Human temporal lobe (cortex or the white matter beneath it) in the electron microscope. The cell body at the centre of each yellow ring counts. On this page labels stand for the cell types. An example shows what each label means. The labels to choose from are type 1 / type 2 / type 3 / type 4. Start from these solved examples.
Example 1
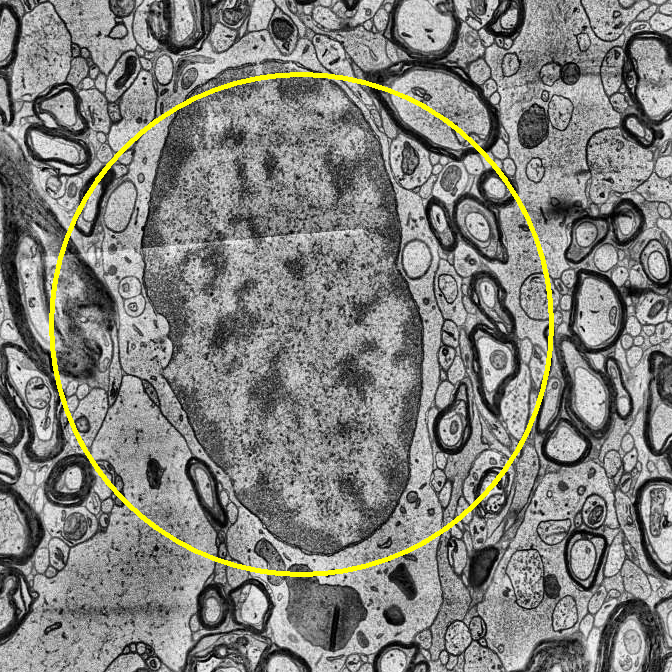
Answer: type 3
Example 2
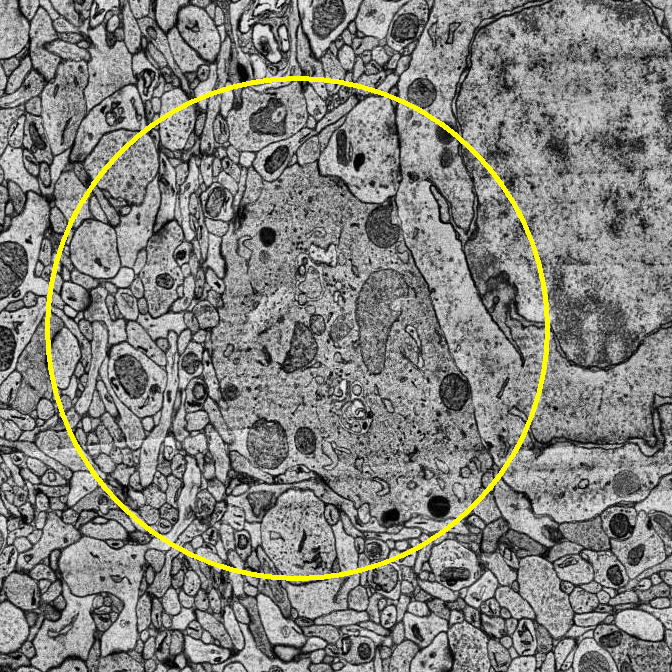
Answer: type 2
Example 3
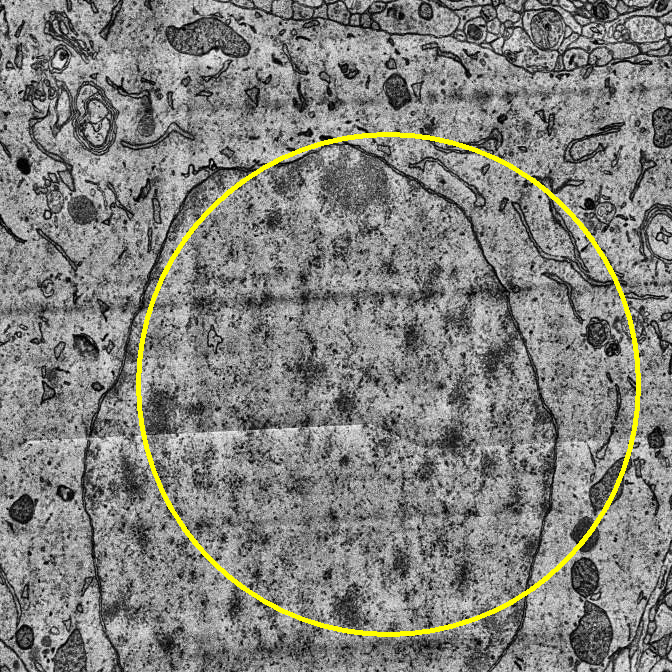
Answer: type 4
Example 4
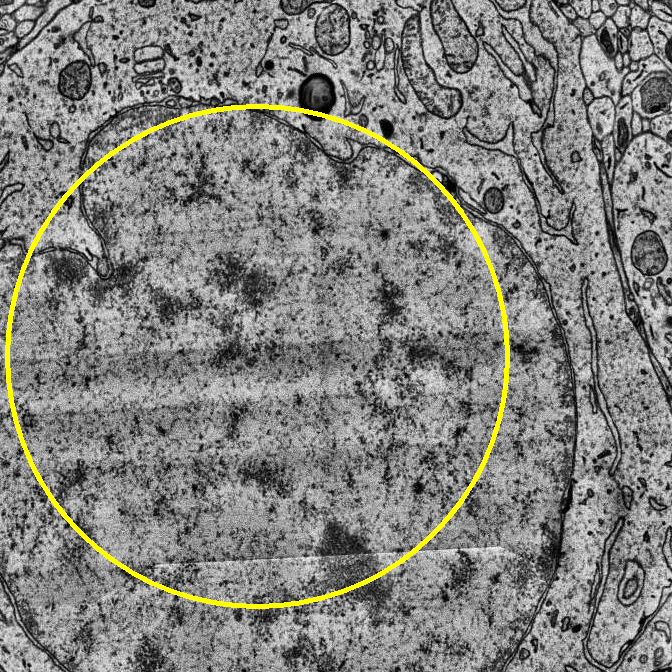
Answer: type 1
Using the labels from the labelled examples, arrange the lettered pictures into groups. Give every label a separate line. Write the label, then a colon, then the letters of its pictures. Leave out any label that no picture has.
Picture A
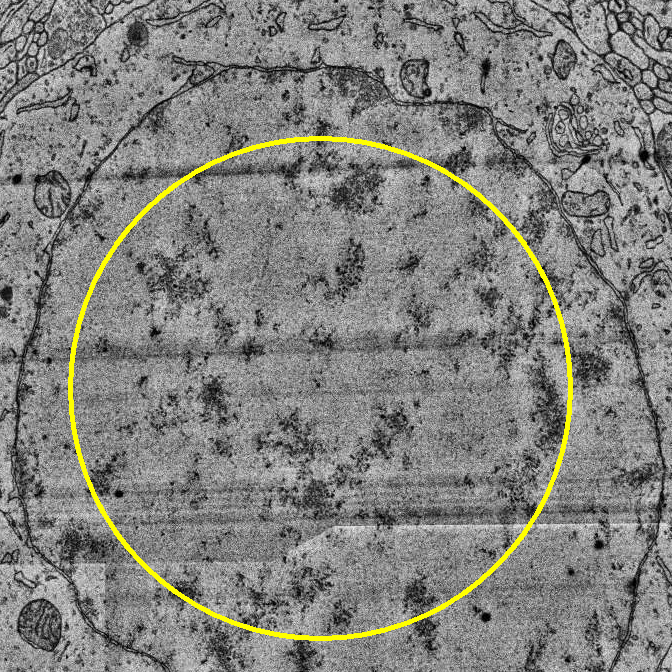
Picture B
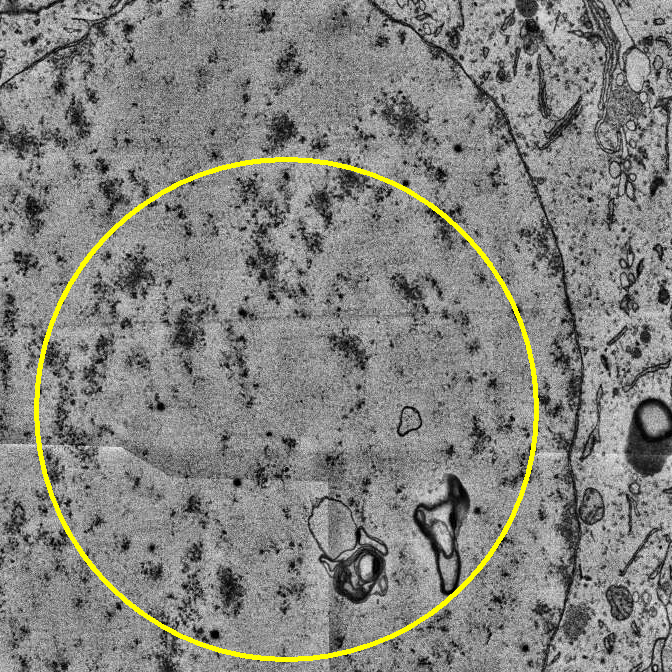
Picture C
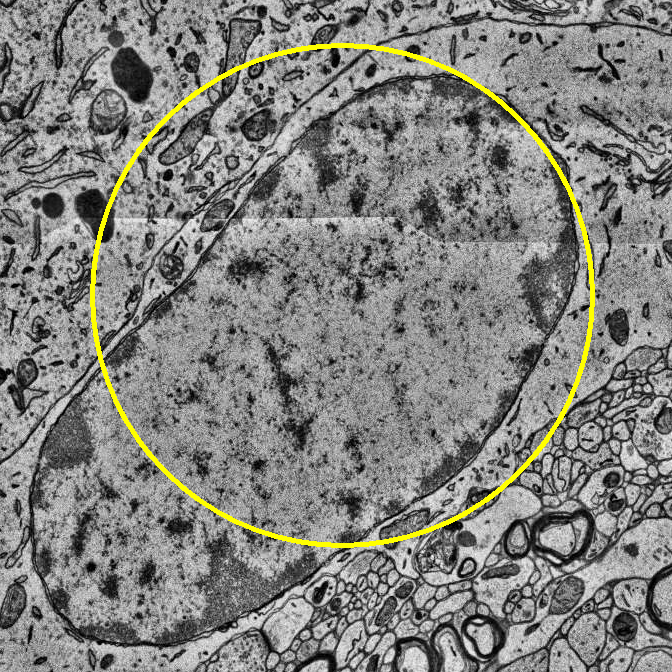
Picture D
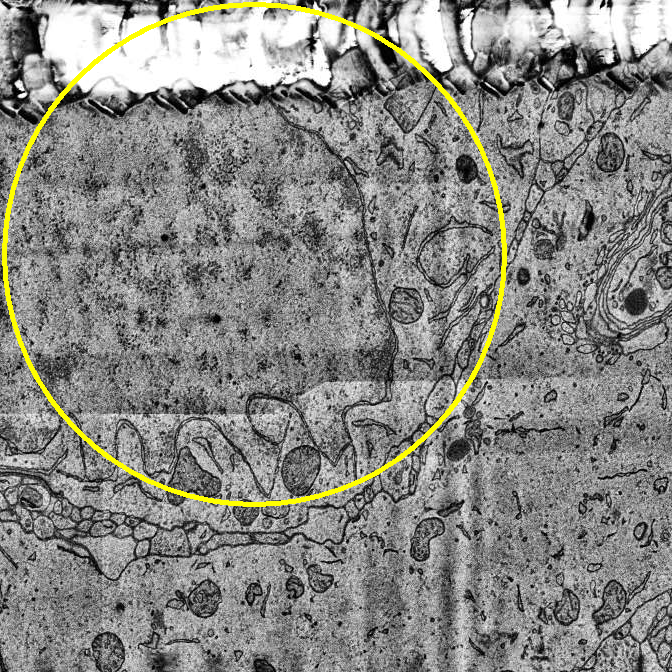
type 1: D
type 3: C
type 4: A, B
